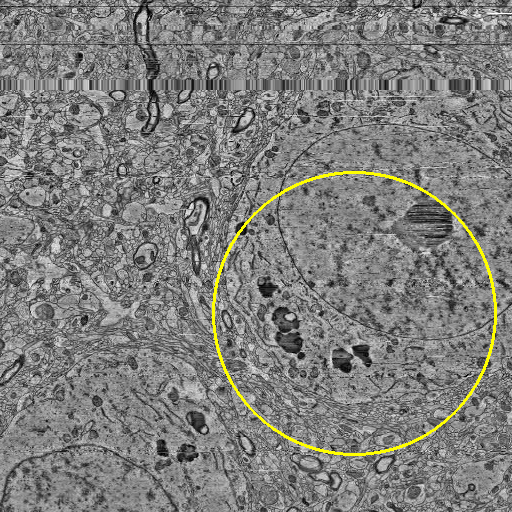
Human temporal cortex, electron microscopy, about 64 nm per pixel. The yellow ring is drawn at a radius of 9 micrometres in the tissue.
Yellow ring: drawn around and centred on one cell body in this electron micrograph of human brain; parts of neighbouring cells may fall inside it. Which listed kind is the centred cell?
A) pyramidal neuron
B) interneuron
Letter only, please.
A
